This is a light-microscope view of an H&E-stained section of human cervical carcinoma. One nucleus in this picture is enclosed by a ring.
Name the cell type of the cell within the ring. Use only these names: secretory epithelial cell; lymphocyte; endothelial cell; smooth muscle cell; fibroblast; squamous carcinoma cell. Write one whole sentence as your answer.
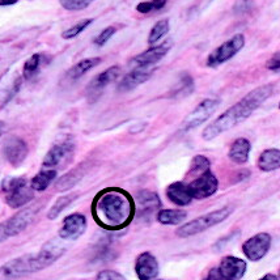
Right, so the cell within the ring is a lymphocyte, to answer that.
